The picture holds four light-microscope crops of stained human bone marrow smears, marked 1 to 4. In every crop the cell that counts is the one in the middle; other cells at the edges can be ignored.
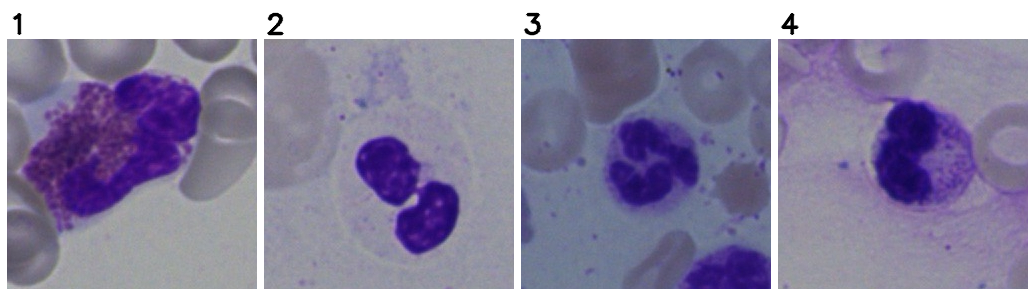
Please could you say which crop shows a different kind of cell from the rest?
1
